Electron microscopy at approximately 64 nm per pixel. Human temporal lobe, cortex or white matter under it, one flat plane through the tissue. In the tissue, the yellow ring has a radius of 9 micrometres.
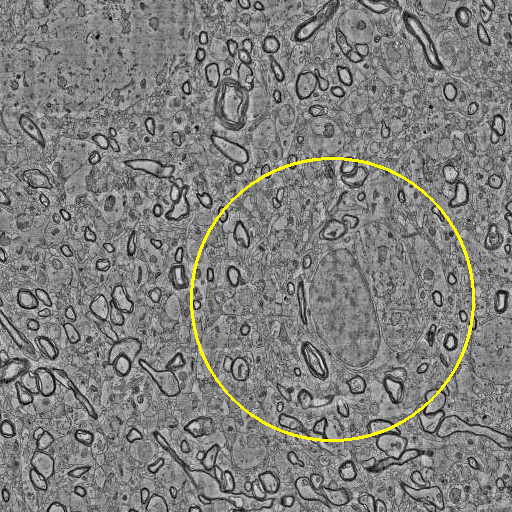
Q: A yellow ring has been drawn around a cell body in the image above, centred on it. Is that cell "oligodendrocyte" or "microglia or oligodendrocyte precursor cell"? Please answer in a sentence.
The ring surrounds the cell body of a microglial cell or oligodendrocyte precursor cell.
